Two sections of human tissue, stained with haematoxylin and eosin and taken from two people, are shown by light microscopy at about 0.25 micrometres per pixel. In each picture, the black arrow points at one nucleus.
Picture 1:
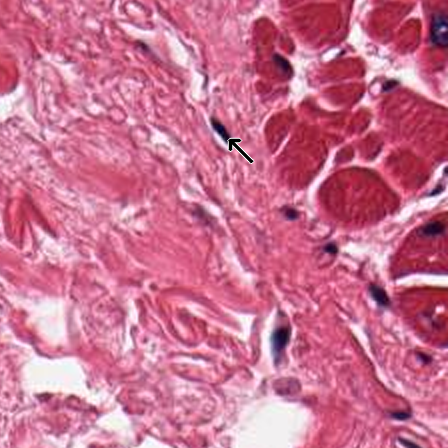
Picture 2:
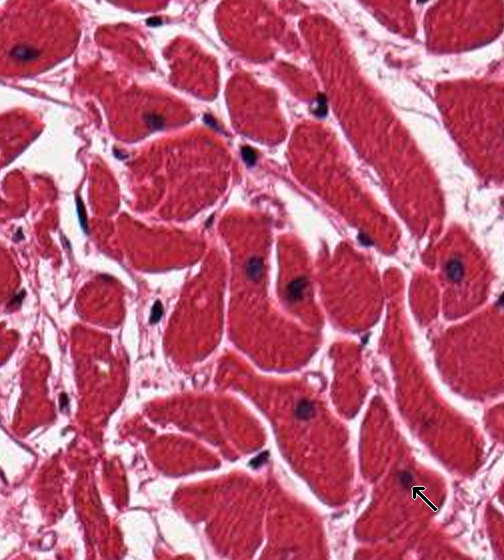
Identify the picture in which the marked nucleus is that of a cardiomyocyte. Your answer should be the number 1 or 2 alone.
2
